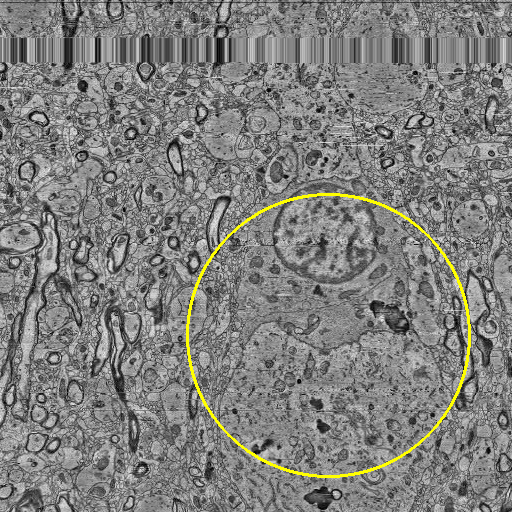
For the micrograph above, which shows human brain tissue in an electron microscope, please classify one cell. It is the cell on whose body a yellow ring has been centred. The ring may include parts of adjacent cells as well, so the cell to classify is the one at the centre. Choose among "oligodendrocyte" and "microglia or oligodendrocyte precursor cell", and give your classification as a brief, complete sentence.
I classify this cell as an oligodendrocyte.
